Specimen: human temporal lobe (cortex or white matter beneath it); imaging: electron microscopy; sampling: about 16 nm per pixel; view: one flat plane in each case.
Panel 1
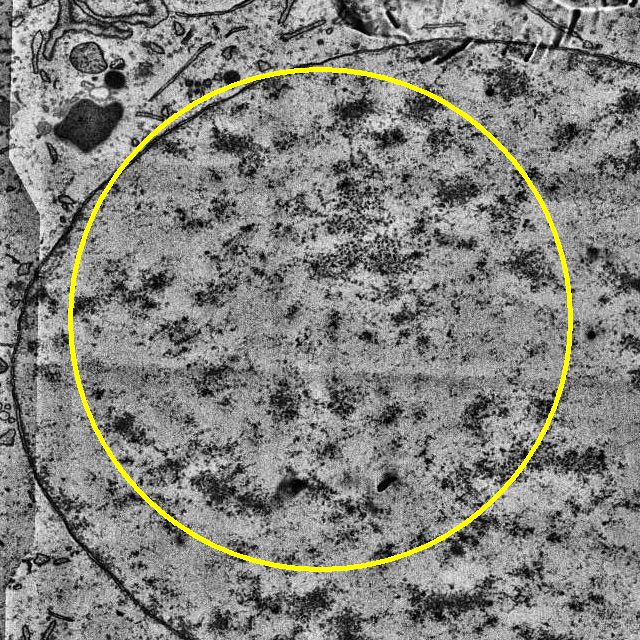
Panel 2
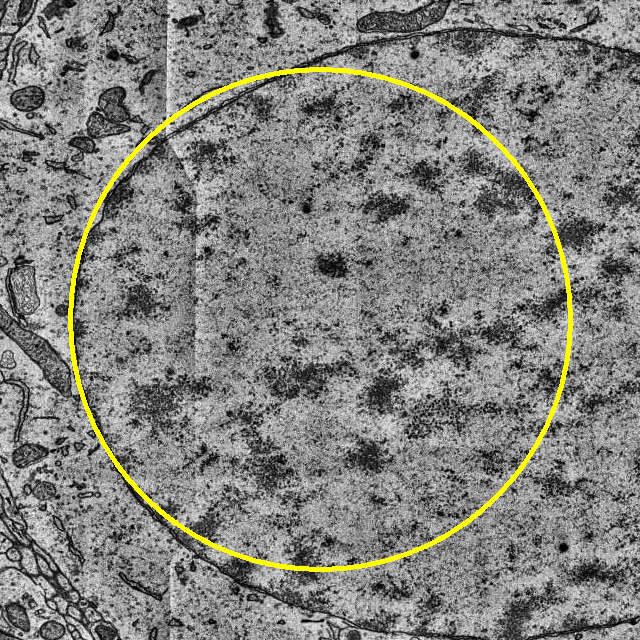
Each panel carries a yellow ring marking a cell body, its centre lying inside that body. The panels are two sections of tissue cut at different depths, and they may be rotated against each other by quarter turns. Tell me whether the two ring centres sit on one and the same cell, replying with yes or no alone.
no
